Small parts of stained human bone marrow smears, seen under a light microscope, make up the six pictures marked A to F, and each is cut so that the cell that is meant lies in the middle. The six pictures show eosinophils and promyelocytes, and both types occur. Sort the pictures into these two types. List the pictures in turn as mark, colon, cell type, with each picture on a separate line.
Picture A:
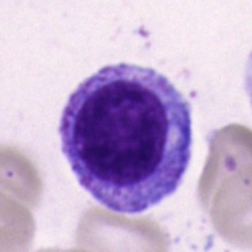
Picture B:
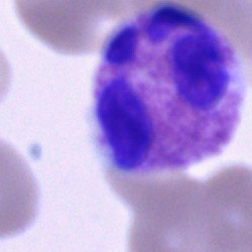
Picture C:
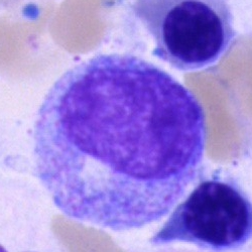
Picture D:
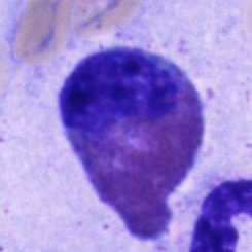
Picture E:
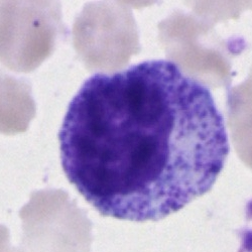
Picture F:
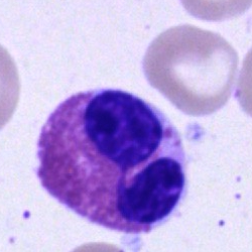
A: promyelocyte
B: eosinophil
C: promyelocyte
D: eosinophil
E: promyelocyte
F: eosinophil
